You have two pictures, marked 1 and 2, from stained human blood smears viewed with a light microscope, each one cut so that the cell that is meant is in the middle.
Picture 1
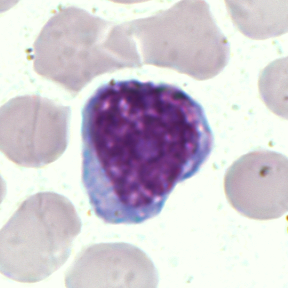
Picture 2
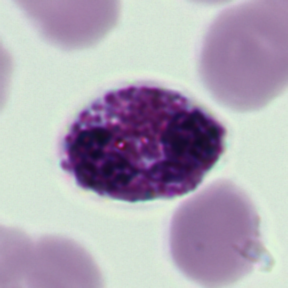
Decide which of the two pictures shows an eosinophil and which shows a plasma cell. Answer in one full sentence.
Picture 2 shows an eosinophil, while picture 1 shows a plasma cell.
